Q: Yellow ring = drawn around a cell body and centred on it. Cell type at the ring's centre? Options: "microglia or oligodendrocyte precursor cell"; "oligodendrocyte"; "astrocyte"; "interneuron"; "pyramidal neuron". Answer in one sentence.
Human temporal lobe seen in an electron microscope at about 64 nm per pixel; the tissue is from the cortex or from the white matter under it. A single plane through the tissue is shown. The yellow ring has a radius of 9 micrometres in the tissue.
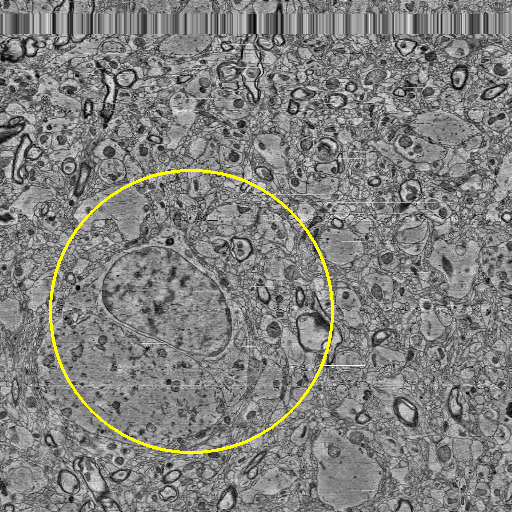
Centred in the ring is a microglial cell or oligodendrocyte precursor cell.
